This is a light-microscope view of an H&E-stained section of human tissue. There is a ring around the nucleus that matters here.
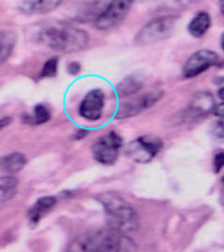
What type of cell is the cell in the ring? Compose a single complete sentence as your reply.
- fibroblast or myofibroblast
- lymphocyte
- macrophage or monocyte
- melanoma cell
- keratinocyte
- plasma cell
Within this tissue, the cell in the ring is a lymphocyte.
